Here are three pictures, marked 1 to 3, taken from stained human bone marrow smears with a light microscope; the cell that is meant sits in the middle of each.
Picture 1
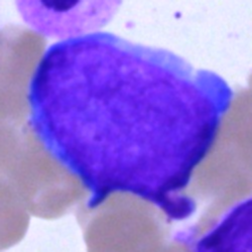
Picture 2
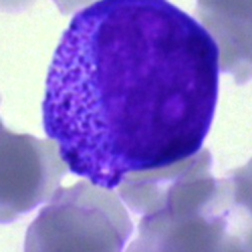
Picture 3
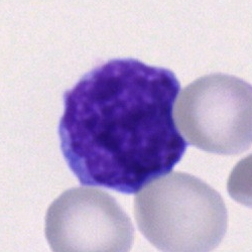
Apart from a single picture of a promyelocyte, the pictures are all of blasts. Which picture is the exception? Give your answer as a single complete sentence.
The picture with the promyelocyte is 2.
